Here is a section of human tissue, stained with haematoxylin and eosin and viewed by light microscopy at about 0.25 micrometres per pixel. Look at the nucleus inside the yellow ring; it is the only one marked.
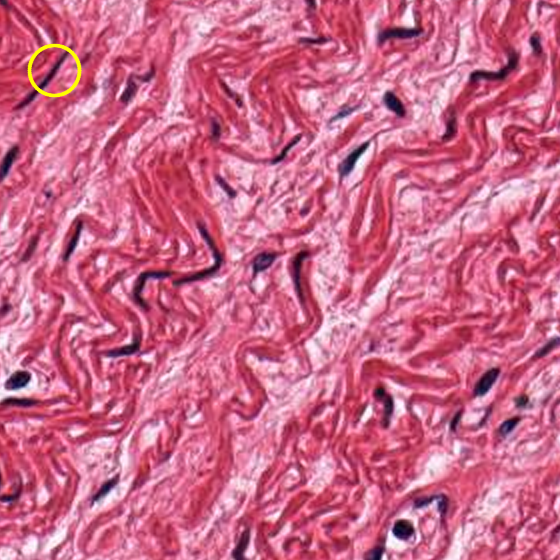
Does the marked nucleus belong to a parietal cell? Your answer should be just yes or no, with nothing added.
no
